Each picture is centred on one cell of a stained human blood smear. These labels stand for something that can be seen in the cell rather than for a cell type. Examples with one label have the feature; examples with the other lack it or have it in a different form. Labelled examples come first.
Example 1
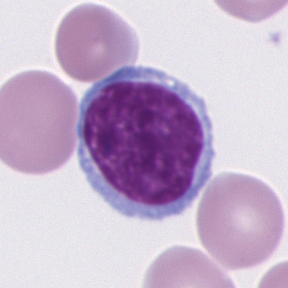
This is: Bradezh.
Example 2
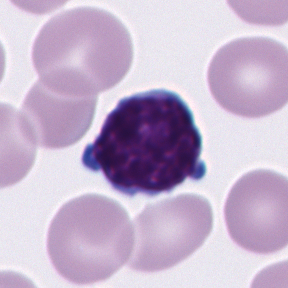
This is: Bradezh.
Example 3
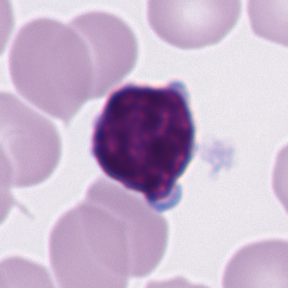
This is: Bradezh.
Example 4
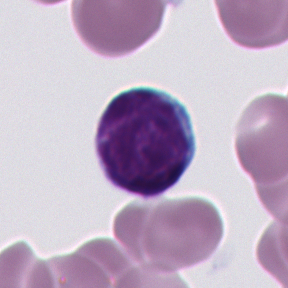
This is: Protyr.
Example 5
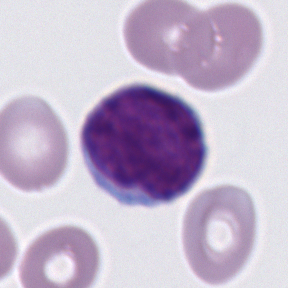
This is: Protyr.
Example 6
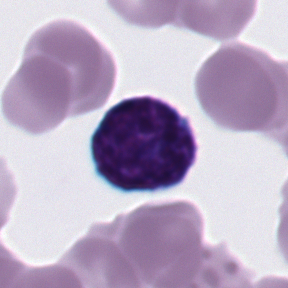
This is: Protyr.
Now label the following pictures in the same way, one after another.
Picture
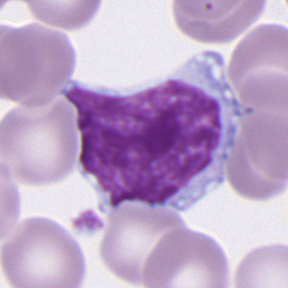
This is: Bradezh.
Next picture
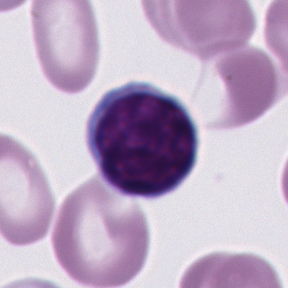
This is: Protyr.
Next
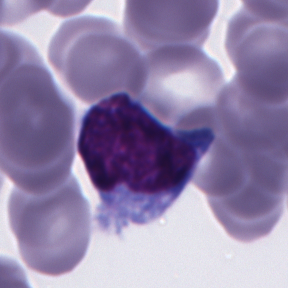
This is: Bradezh.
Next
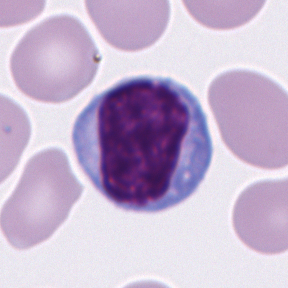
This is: Protyr.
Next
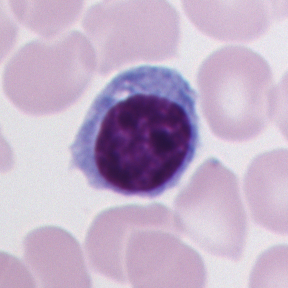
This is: Bradezh.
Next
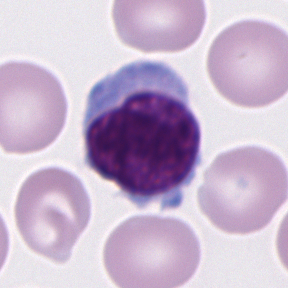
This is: Bradezh.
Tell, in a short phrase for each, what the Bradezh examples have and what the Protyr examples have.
Seen in Bradezh: ragged outline or projections; seen in Protyr: smooth outline.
